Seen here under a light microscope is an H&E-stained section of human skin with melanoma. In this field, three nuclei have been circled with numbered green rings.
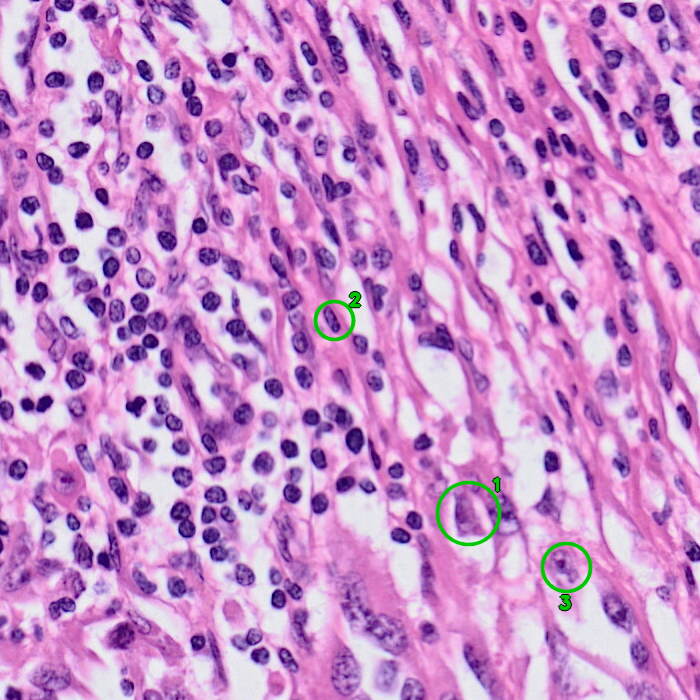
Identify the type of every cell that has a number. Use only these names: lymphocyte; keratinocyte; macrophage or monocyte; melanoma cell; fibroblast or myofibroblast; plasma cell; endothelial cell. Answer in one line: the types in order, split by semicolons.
melanoma cell; lymphocyte; melanoma cell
